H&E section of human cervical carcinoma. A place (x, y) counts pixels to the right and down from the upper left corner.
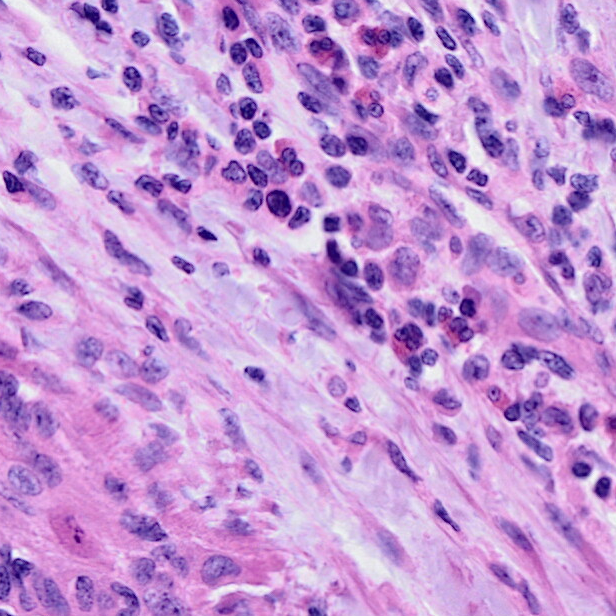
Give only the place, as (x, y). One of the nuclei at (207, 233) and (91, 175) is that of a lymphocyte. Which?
(207, 233)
